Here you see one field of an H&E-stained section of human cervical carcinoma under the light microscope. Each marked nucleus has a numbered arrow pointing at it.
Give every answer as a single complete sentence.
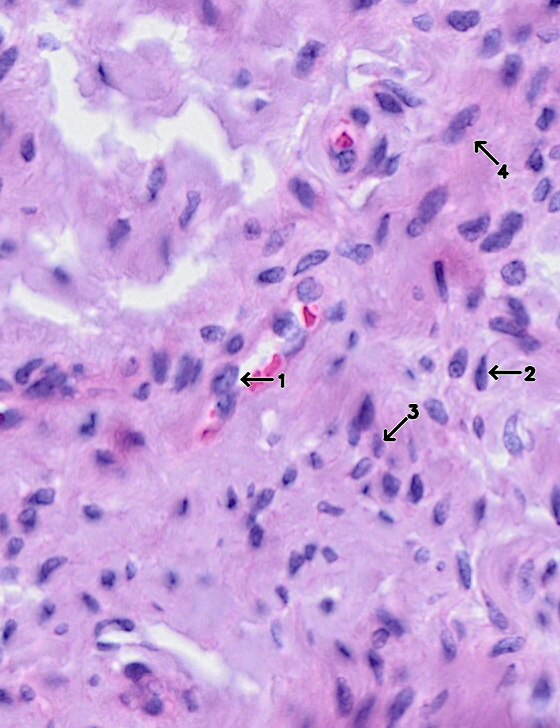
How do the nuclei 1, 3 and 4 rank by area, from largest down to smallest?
By area, largest first, they run 4, 1, 3.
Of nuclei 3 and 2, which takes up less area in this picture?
Number 3 is smaller, since number 2 takes up about 2 times as much area.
